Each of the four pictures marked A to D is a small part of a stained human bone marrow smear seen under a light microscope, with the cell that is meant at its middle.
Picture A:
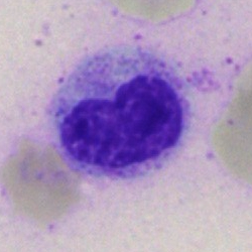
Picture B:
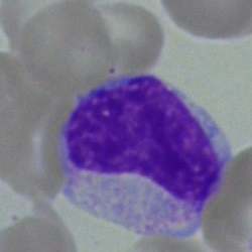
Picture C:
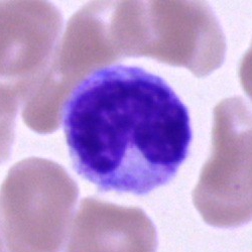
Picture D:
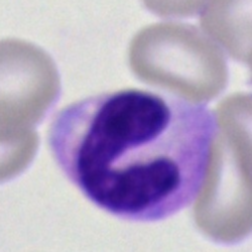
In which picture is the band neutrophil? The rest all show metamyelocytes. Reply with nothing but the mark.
D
